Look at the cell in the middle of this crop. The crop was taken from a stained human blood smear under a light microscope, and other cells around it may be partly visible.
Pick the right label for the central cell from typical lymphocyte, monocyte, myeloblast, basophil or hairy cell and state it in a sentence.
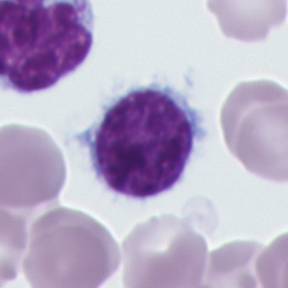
In this smear crop, the middle cell is a hairy cell.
